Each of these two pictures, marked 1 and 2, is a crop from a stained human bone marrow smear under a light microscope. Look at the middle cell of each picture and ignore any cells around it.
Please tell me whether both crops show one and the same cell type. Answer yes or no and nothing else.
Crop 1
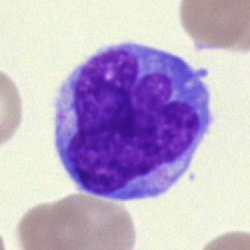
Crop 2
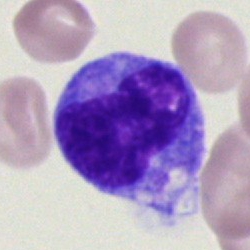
yes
